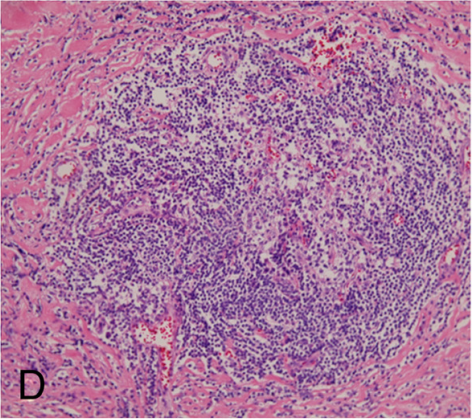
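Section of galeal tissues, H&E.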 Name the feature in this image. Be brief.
Lymphoid follicles with germinal center formation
